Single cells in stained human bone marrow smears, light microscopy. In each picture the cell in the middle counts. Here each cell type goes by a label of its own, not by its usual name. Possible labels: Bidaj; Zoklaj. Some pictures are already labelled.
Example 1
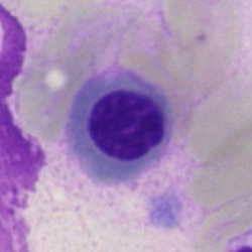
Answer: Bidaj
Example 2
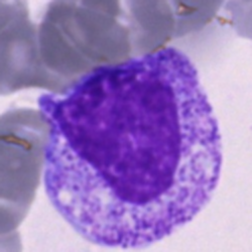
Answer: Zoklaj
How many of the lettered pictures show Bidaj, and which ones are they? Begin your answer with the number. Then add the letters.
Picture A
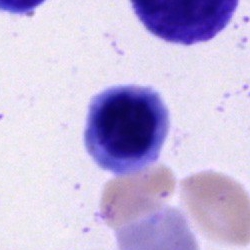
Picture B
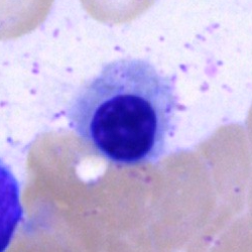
2: A, B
